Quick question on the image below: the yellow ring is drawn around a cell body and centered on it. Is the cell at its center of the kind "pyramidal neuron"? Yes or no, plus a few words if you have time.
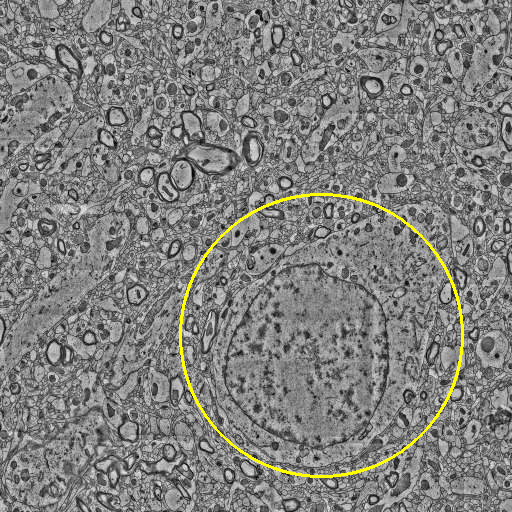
No, the cell at the center is of another kind.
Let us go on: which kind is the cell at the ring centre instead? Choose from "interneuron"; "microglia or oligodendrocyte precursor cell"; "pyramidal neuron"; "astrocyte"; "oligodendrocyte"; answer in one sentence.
At the centre of the ring sits an interneuron.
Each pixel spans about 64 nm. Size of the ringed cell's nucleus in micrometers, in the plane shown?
Roughly 11 micrometers across in this plane.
